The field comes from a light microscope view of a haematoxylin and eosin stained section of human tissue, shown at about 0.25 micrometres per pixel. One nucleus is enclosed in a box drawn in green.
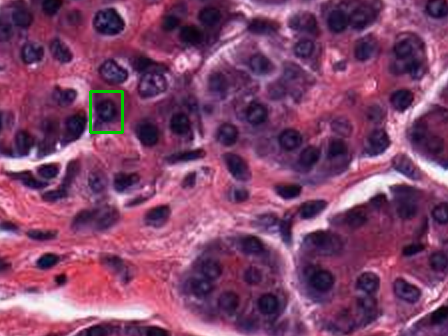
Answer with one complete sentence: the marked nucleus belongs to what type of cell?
Singled out by the mark is the nucleus of a pancreatic acinar cell.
